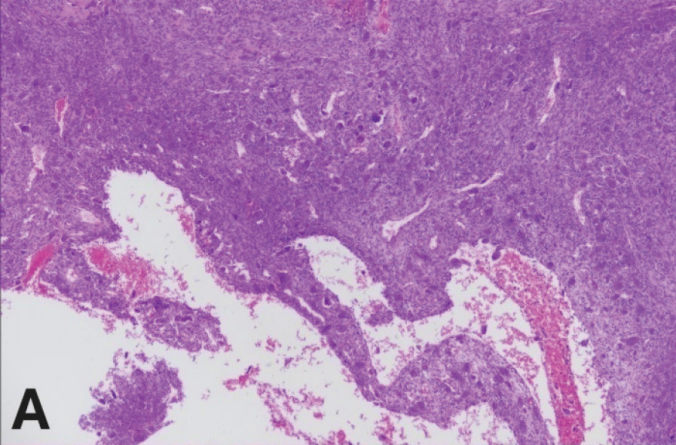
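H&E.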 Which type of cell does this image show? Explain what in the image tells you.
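Large dark multinucleated cells are scattered through a dense cellular sheet. These cells are much larger than the surrounding spindle cells.
Conclusion: osteoclastic giant cells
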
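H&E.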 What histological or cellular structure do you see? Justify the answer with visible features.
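Empty-looking spaces along the lower edge contain loose red blood cells. The spaces border the solid cellular tissue.
Answer: blood filled cystic spaces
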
